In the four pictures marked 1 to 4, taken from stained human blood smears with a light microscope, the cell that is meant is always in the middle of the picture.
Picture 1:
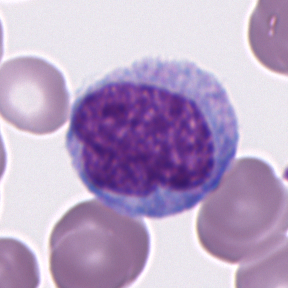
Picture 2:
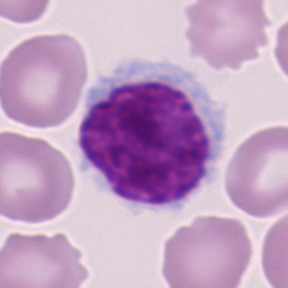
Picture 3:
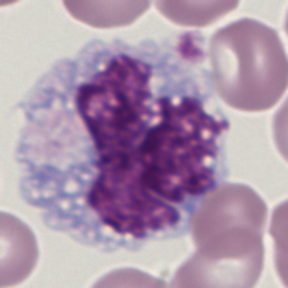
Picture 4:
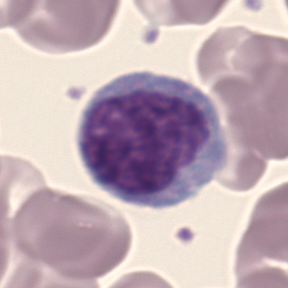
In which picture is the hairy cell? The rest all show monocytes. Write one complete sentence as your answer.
Picture 2 shows the hairy cell.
